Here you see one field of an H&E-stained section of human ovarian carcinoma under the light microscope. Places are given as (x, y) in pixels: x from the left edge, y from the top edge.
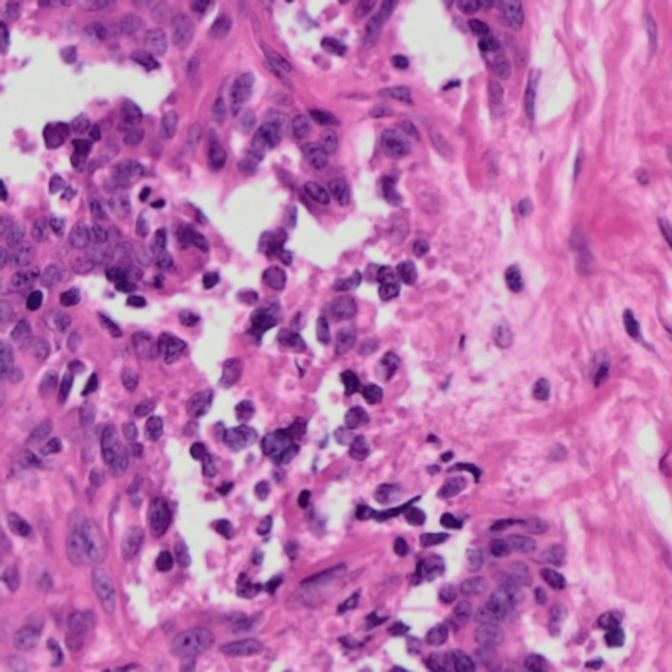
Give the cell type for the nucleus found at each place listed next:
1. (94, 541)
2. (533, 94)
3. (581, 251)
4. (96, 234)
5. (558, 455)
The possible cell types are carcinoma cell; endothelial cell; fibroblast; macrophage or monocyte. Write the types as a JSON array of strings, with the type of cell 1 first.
["endothelial cell", "fibroblast", "fibroblast", "carcinoma cell", "fibroblast"]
